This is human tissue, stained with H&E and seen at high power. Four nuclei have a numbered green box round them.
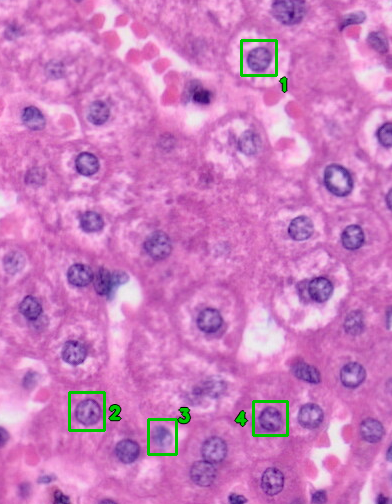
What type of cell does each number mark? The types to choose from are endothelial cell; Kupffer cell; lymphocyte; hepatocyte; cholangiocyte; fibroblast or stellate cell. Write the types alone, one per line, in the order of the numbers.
hepatocyte
hepatocyte
endothelial cell
hepatocyte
